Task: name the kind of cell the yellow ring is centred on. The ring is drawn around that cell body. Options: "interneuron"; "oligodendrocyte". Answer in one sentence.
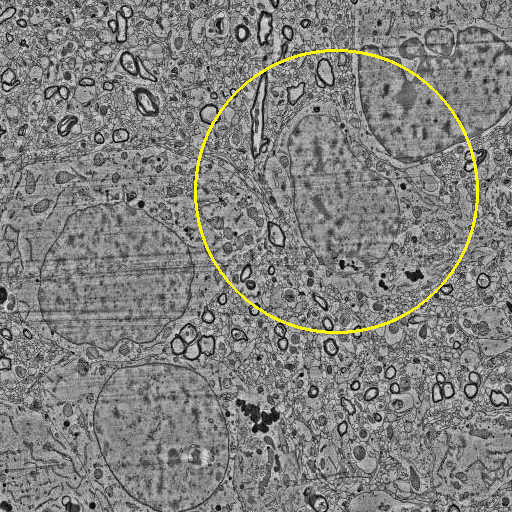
This cell body belongs to an interneuron.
